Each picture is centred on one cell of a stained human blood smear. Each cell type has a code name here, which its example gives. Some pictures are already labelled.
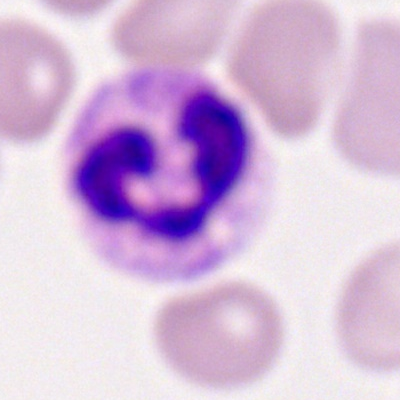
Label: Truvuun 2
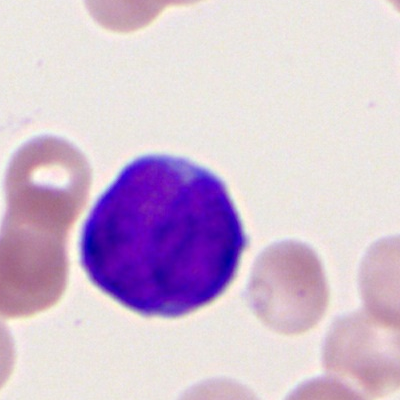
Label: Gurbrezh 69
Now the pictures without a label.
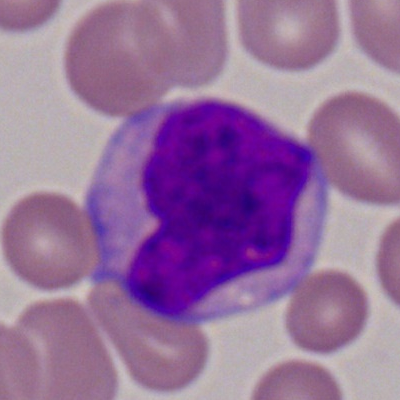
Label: Gurbrezh 69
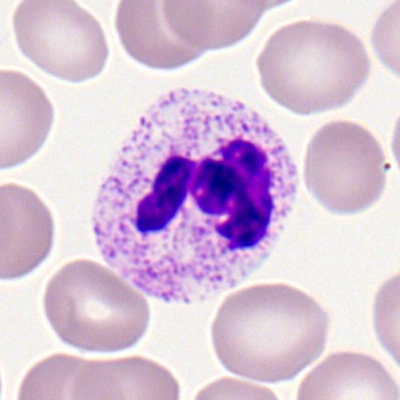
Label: Truvuun 2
